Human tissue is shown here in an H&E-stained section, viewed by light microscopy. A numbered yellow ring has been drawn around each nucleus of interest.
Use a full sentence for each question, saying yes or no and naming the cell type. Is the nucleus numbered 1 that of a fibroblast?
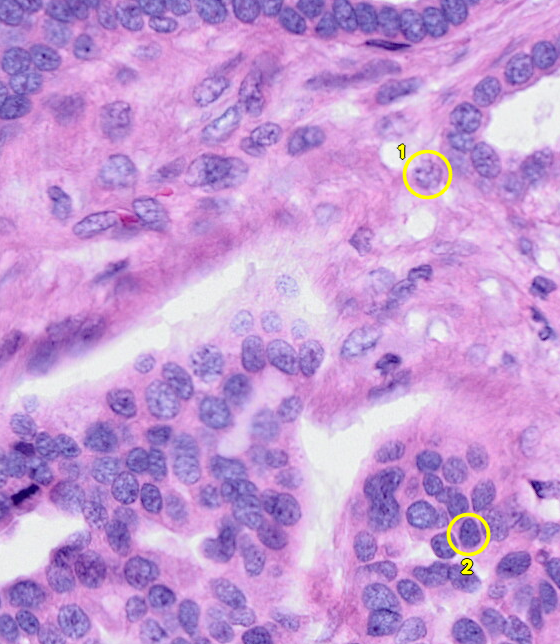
Yes, with respect to number 1, the cell is a fibroblast.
